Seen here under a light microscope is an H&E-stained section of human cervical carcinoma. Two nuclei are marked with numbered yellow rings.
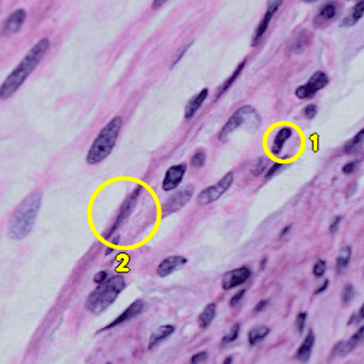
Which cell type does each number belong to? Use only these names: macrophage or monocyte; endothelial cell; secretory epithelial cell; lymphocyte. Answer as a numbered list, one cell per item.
1. lymphocyte
2. endothelial cell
